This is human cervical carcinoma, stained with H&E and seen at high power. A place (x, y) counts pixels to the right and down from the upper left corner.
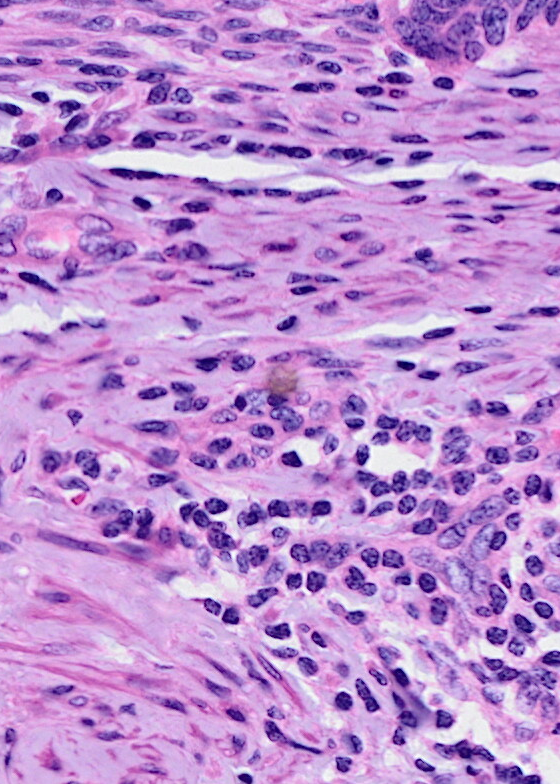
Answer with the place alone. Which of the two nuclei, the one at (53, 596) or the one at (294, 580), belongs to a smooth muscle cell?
(53, 596)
